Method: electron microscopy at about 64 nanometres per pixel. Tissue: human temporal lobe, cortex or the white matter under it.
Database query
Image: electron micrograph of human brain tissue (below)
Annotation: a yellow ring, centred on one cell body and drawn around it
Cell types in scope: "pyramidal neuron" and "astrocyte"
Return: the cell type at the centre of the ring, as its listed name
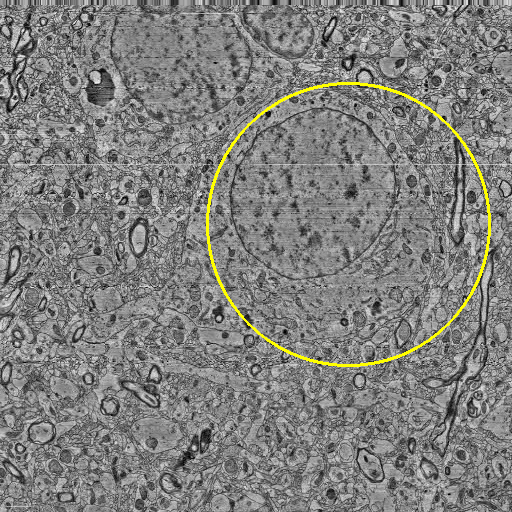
pyramidal neuron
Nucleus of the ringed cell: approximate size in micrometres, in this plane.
The nucleus measures about 11 micrometers across in this plane.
